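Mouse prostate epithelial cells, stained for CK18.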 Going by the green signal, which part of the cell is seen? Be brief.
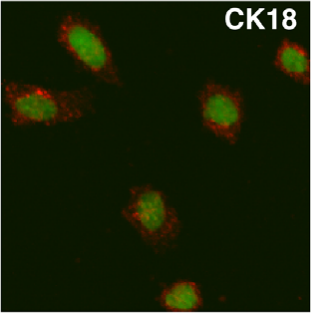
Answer: Nucleus.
